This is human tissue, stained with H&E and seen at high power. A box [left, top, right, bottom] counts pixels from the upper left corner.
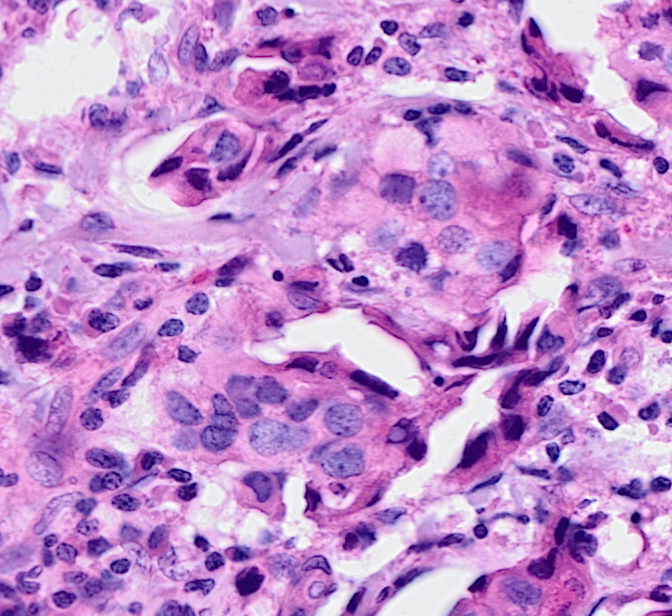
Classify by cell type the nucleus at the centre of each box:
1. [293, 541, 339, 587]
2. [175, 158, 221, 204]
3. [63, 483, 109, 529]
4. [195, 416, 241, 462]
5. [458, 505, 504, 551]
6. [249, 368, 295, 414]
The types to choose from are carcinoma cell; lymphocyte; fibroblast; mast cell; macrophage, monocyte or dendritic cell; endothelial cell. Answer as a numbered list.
1. endothelial cell
2. carcinoma cell
3. lymphocyte
4. carcinoma cell
5. lymphocyte
6. carcinoma cell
